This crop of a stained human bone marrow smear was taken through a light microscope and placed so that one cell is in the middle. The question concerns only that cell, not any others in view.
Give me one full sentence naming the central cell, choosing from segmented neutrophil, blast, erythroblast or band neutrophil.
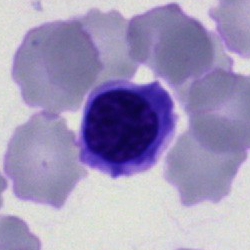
The cell occupying the middle of the crop is an erythroblast.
